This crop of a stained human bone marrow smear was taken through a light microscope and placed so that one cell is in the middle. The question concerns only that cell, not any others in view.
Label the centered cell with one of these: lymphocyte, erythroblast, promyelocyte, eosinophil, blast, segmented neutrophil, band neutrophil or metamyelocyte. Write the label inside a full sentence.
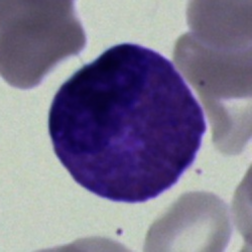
On this slide crop, the central cell is an eosinophil.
